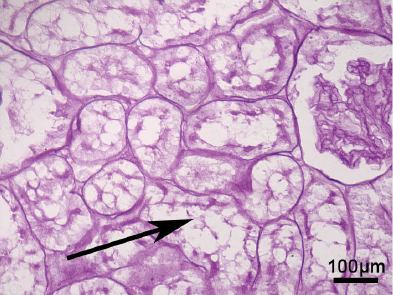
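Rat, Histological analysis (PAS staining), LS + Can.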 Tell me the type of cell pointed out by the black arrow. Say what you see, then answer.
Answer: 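Renal tubular foam cells. The arrow points into a tubule whose cells have pale, bubbly cytoplasm. The cytoplasm is filled with many small clear vacuoles. Neighbouring tubules show the same vacuolated cells.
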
